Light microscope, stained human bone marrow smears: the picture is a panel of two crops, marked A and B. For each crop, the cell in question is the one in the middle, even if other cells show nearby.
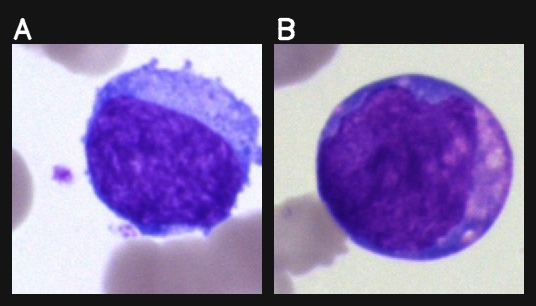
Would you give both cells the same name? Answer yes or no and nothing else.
yes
